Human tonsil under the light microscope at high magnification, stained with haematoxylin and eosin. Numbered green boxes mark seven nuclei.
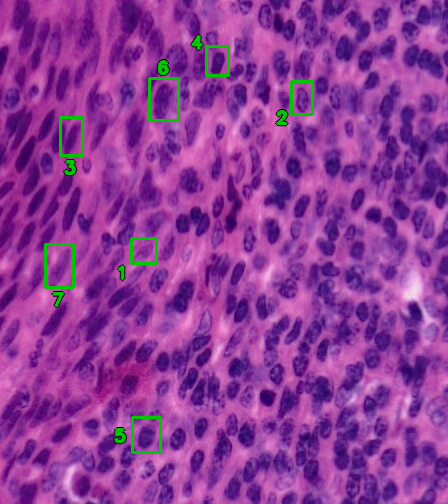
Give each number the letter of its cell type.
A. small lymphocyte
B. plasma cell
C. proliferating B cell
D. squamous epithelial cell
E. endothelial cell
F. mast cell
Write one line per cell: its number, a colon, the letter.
1: D
2: B
3: D
4: B
5: B
6: D
7: D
